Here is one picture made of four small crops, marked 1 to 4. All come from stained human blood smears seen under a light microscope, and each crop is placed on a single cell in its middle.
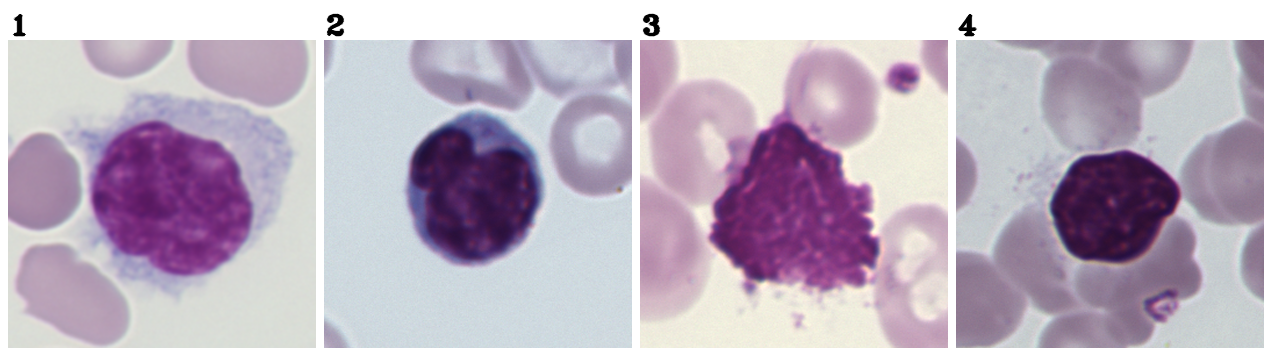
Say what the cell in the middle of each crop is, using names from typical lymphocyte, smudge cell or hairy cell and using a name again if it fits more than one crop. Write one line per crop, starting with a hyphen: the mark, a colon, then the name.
- 1: hairy cell
- 2: typical lymphocyte
- 3: smudge cell
- 4: smudge cell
